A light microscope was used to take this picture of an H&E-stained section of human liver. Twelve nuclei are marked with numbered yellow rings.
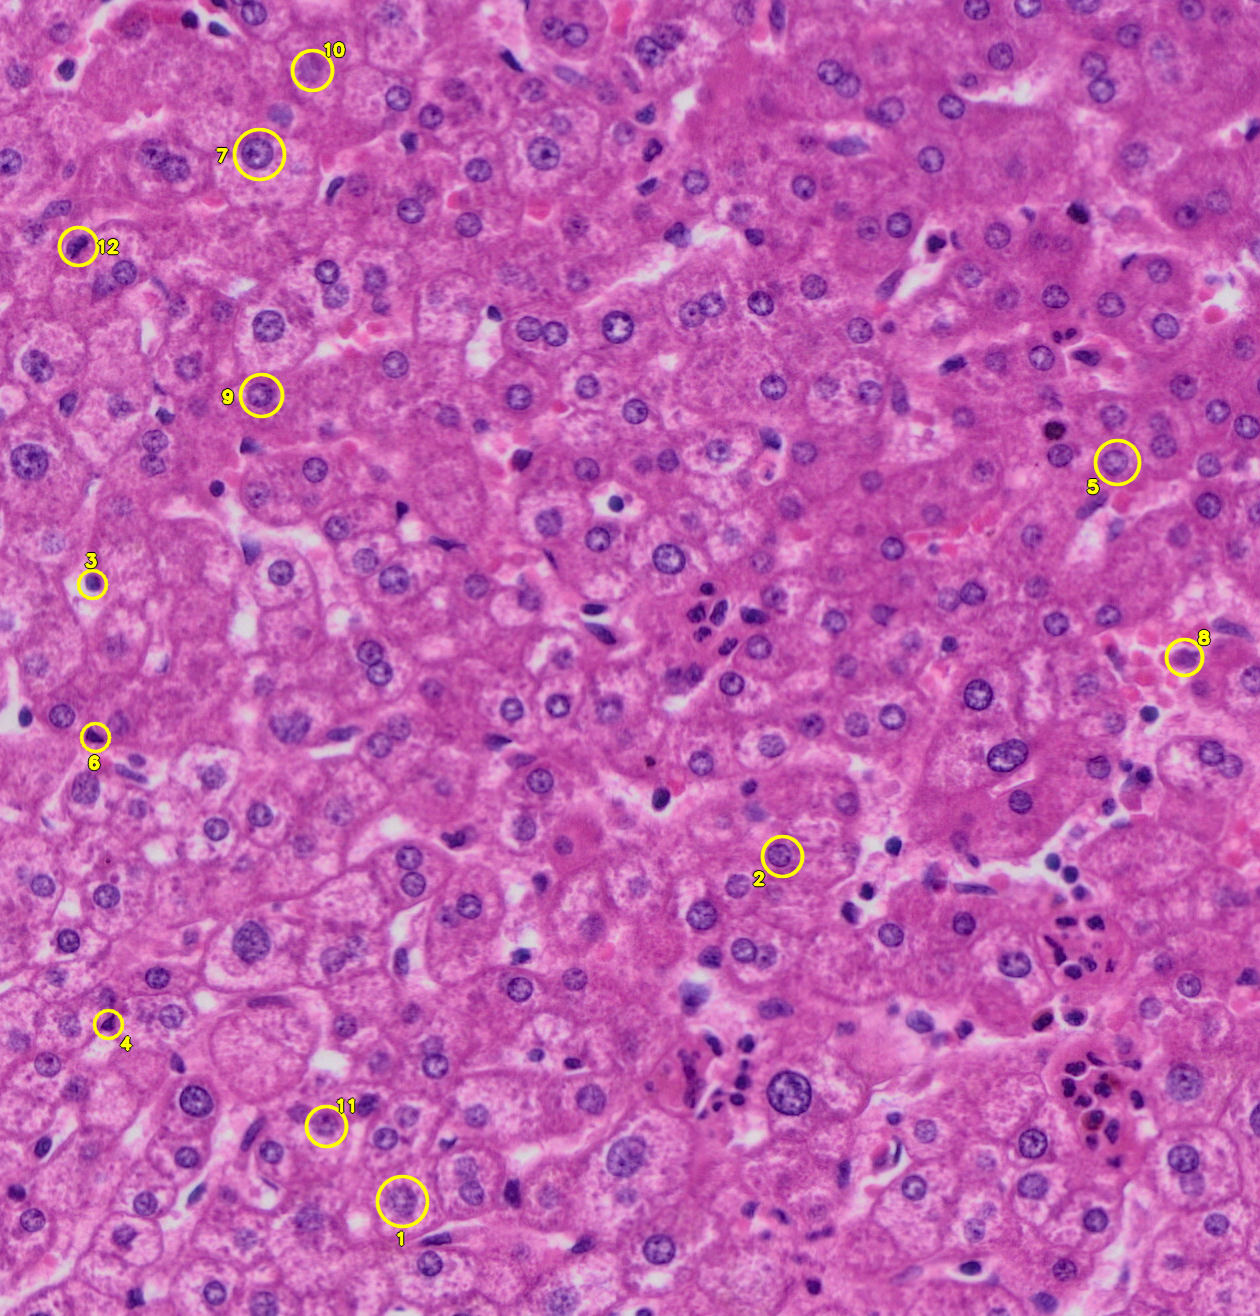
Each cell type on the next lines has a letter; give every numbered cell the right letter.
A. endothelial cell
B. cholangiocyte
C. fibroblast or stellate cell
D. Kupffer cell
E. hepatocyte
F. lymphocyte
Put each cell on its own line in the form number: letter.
1: E
2: E
3: F
4: C
5: E
6: C
7: E
8: A
9: E
10: E
11: E
12: C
